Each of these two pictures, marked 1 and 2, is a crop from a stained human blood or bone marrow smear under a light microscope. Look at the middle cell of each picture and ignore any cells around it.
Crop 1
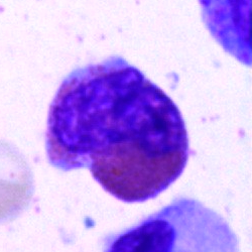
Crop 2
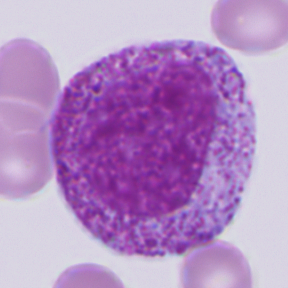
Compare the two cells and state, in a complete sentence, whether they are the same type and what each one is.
No, an eosinophil is shown in crop 1 and a promyelocyte in crop 2.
